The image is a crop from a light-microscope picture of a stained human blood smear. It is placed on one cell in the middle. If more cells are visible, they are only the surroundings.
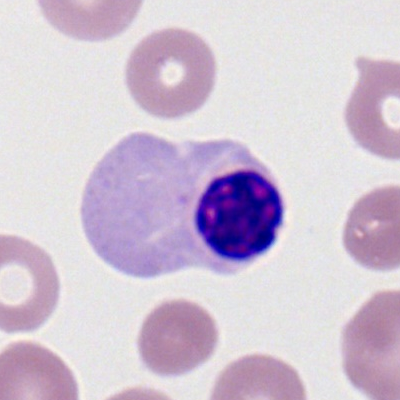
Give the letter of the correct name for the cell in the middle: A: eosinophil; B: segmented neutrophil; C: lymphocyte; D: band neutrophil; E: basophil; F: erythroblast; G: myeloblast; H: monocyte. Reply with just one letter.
F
